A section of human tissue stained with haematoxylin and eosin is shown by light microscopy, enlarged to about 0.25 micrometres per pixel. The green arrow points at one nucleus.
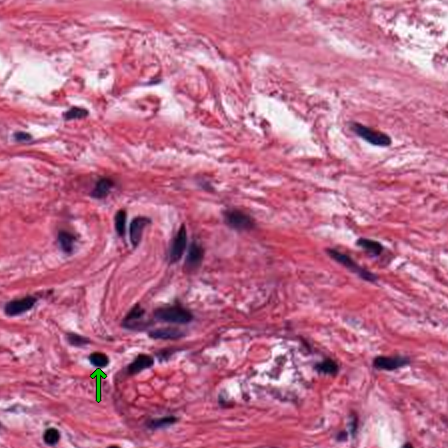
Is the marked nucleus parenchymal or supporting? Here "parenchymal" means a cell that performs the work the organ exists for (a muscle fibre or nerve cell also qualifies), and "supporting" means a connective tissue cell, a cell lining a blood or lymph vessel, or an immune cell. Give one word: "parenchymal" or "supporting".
supporting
